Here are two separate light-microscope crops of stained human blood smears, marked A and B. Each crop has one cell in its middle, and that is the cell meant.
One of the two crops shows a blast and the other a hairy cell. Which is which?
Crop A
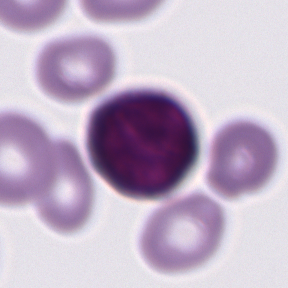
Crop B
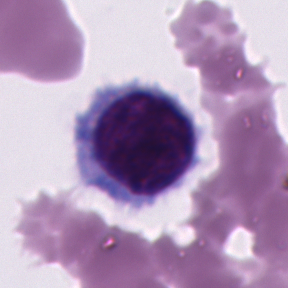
A: blast
B: hairy cell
